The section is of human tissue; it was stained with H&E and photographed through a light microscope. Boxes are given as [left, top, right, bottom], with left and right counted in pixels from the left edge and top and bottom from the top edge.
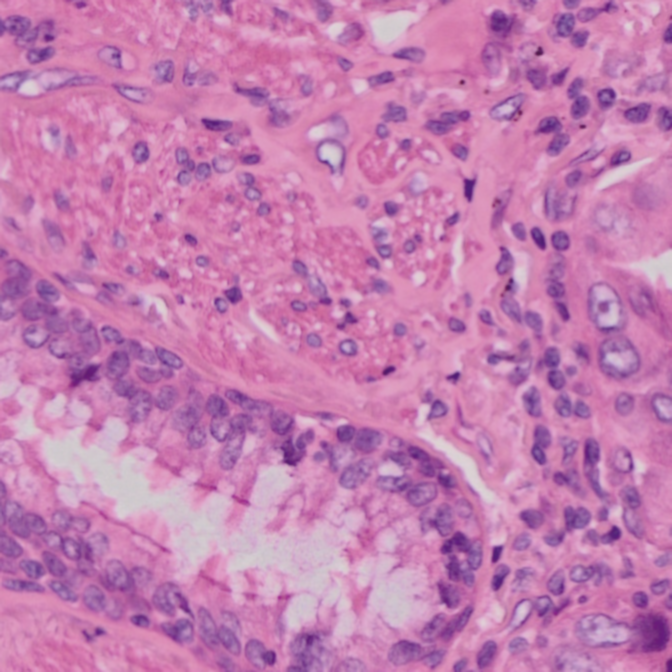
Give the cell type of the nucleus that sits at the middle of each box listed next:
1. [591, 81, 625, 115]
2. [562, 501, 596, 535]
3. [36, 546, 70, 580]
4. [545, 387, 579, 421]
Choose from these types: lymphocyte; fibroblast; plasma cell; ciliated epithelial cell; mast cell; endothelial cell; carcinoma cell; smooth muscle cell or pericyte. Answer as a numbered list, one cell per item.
1. plasma cell
2. lymphocyte
3. ciliated epithelial cell
4. lymphocyte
